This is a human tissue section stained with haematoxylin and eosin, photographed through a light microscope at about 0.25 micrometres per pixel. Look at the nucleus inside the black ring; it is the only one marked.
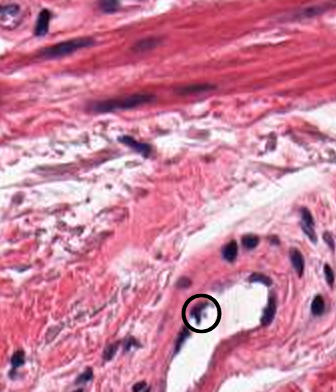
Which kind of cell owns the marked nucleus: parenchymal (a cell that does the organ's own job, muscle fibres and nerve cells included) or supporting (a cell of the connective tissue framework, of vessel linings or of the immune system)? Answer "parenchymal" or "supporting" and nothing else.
supporting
